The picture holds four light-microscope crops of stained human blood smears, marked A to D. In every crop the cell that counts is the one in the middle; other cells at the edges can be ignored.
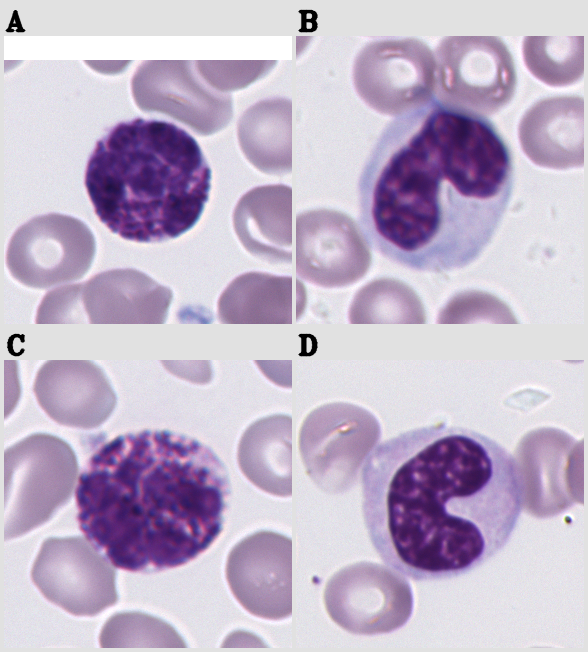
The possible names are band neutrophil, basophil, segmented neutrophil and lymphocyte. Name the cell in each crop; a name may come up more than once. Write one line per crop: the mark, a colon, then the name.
A: basophil
B: band neutrophil
C: basophil
D: band neutrophil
